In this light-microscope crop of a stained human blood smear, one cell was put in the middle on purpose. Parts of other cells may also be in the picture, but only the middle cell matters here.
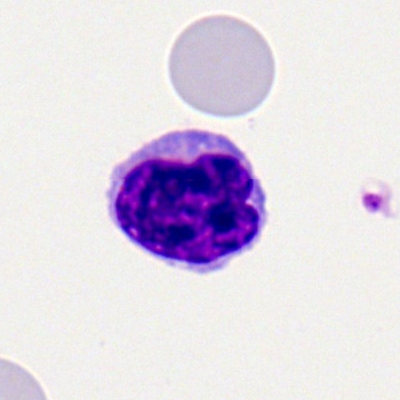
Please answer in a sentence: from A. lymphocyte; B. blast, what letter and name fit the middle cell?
Option A is to be chosen, as the central cell is a lymphocyte.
